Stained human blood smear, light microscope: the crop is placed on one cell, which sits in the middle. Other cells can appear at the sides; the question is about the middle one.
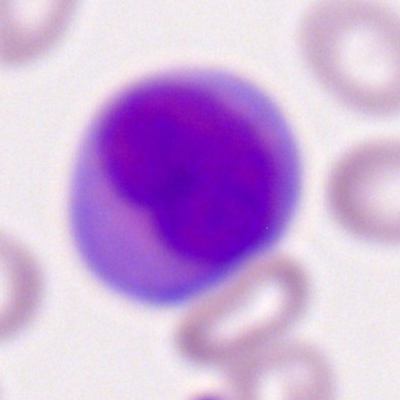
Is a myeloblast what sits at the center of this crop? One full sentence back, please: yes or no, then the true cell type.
Yes, the cell found in the middle is a myeloblast.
